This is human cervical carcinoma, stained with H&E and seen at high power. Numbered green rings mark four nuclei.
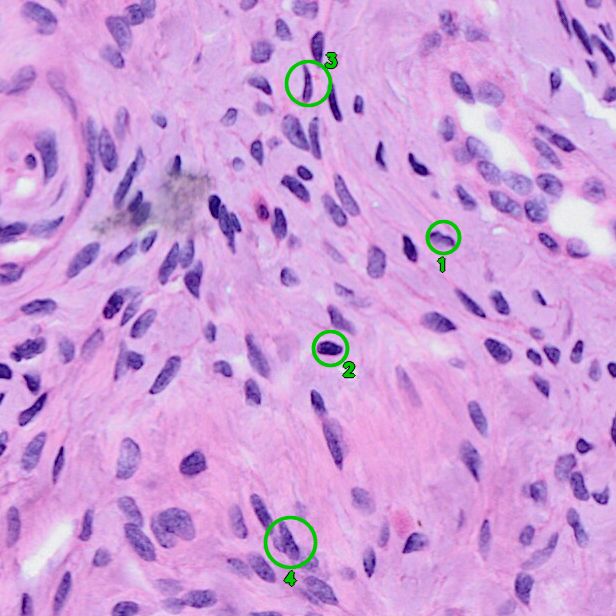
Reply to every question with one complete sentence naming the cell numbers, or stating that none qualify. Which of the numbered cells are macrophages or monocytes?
Numbered cell by numbered cell, the tally of macrophages or monocytes stays at zero.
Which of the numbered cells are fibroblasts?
Identification: the cells with numbers 1, 3 and 4 are fibroblasts.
